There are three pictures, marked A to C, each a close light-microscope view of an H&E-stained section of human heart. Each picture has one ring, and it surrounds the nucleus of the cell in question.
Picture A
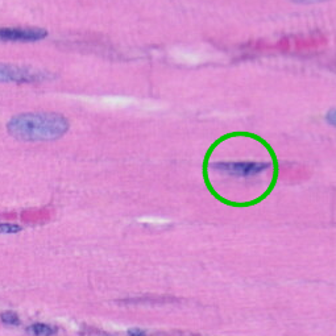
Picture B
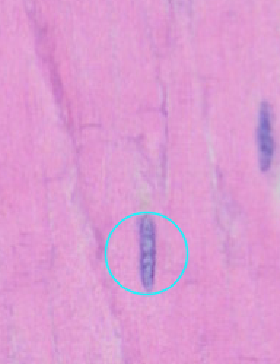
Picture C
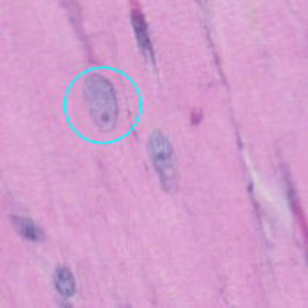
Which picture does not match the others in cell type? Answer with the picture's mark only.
A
